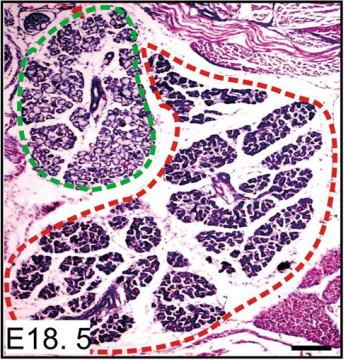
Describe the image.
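Two neighbouring salivary glands are seen in section, each outlined by a dashed line: a smaller sublingual gland at the upper left and a larger submandibular gland below and to the right. Both are built of lobules of densely packed, purple-stained acini separated by pale, loose connective tissue in which ducts run. The acini of the sublingual gland look paler and more vacuolated, while those of the submandibular gland are smaller and stain darker. Pink connective tissue and muscle border the glands at the edges of the field.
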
